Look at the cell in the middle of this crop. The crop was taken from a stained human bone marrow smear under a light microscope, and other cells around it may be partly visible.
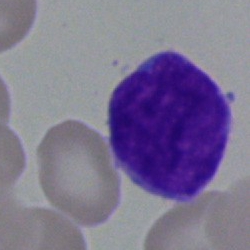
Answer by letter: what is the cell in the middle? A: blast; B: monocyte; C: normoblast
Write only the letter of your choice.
A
